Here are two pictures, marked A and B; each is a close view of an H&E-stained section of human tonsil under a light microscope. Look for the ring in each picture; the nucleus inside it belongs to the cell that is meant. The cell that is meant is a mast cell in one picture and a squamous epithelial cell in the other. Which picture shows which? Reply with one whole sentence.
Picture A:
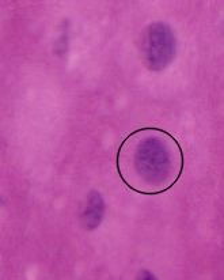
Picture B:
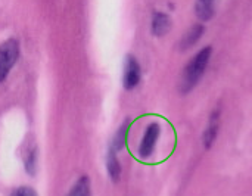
Picture B shows a mast cell, while picture A shows a squamous epithelial cell.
